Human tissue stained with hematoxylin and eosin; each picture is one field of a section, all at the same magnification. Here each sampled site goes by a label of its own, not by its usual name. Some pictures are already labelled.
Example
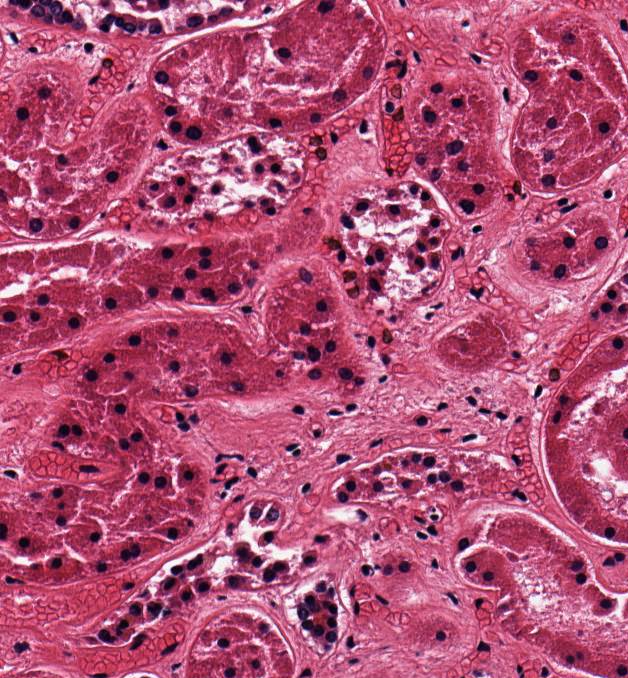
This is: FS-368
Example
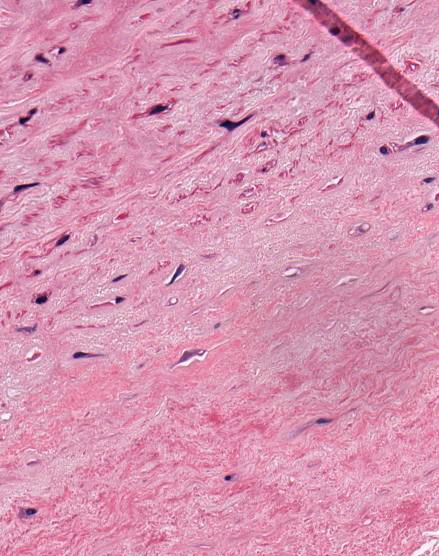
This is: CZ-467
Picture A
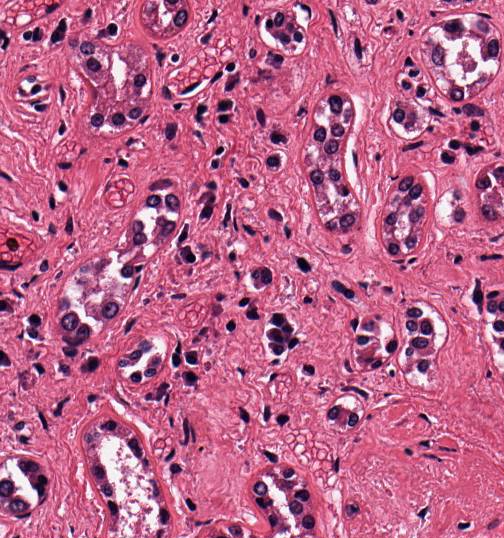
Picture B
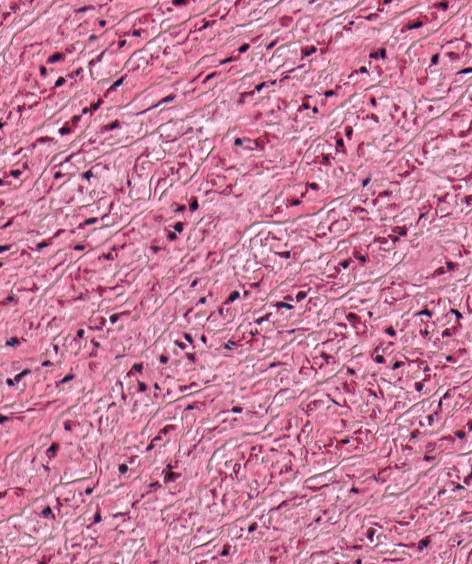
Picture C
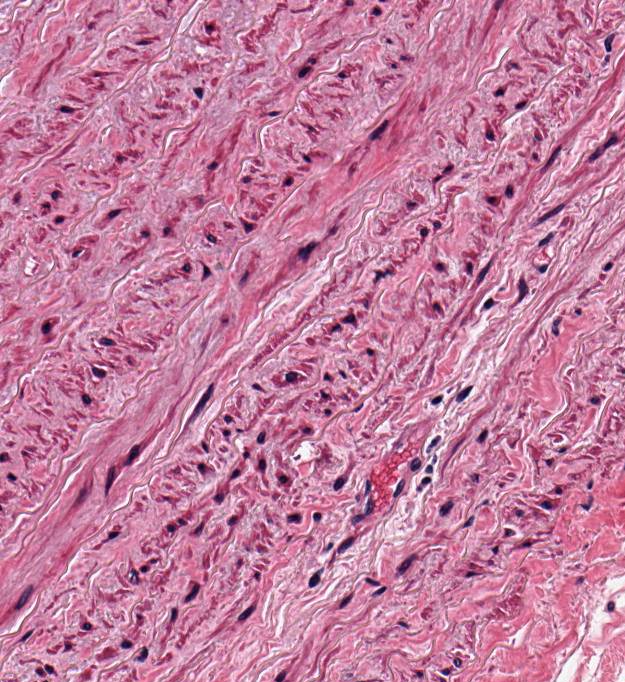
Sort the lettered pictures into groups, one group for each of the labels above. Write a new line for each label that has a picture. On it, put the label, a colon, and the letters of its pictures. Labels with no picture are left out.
FS-368: A
CZ-467: B, C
